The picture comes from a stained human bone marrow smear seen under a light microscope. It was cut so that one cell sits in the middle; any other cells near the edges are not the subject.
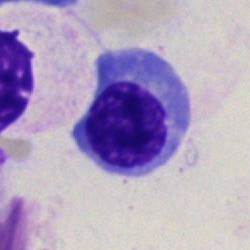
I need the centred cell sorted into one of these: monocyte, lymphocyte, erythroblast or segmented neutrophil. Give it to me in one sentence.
The central cell shown in this smear crop is an erythroblast.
